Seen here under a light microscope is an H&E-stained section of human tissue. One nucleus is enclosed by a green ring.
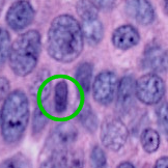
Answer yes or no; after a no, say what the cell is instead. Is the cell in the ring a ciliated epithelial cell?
No, it is a carcinoma cell.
